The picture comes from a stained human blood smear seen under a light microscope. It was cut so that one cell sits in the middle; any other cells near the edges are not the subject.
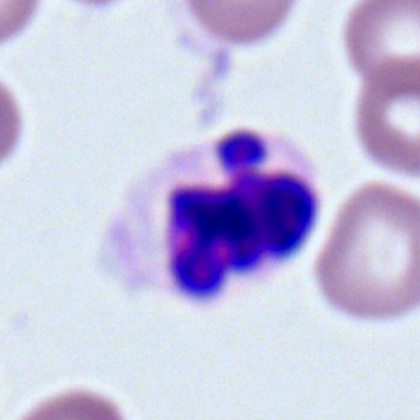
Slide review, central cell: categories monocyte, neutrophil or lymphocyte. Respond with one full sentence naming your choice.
The crop's centre is taken up by a neutrophil.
